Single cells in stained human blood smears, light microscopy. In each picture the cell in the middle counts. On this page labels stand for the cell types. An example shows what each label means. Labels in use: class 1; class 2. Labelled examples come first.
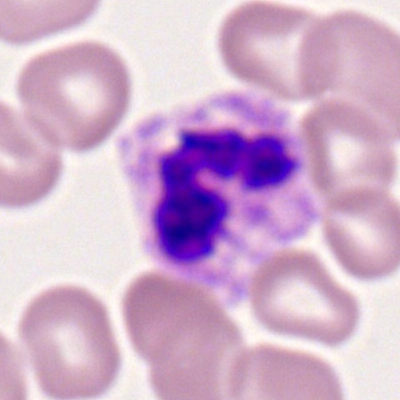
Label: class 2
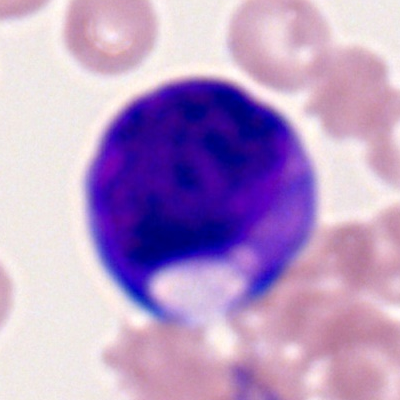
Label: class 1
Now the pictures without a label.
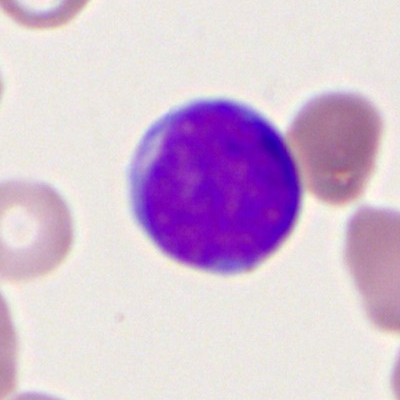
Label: class 1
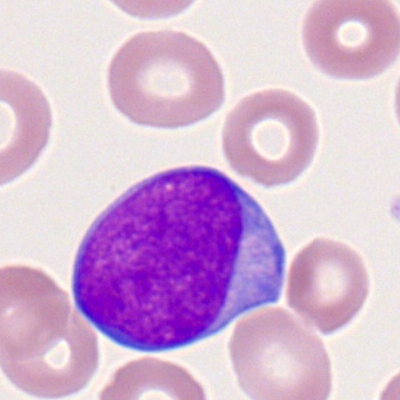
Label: class 1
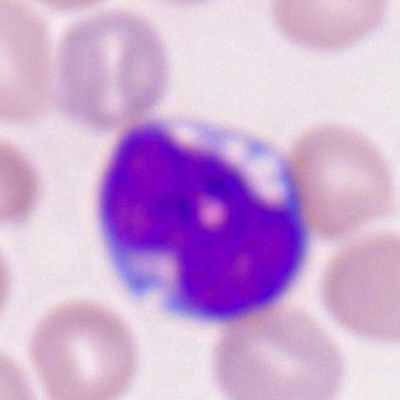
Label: class 1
